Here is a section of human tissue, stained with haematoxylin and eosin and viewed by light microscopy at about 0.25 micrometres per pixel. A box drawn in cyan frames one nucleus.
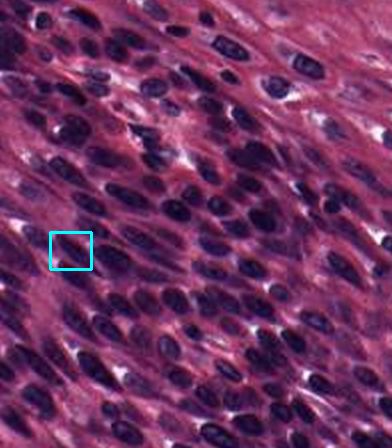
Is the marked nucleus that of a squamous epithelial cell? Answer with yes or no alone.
yes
